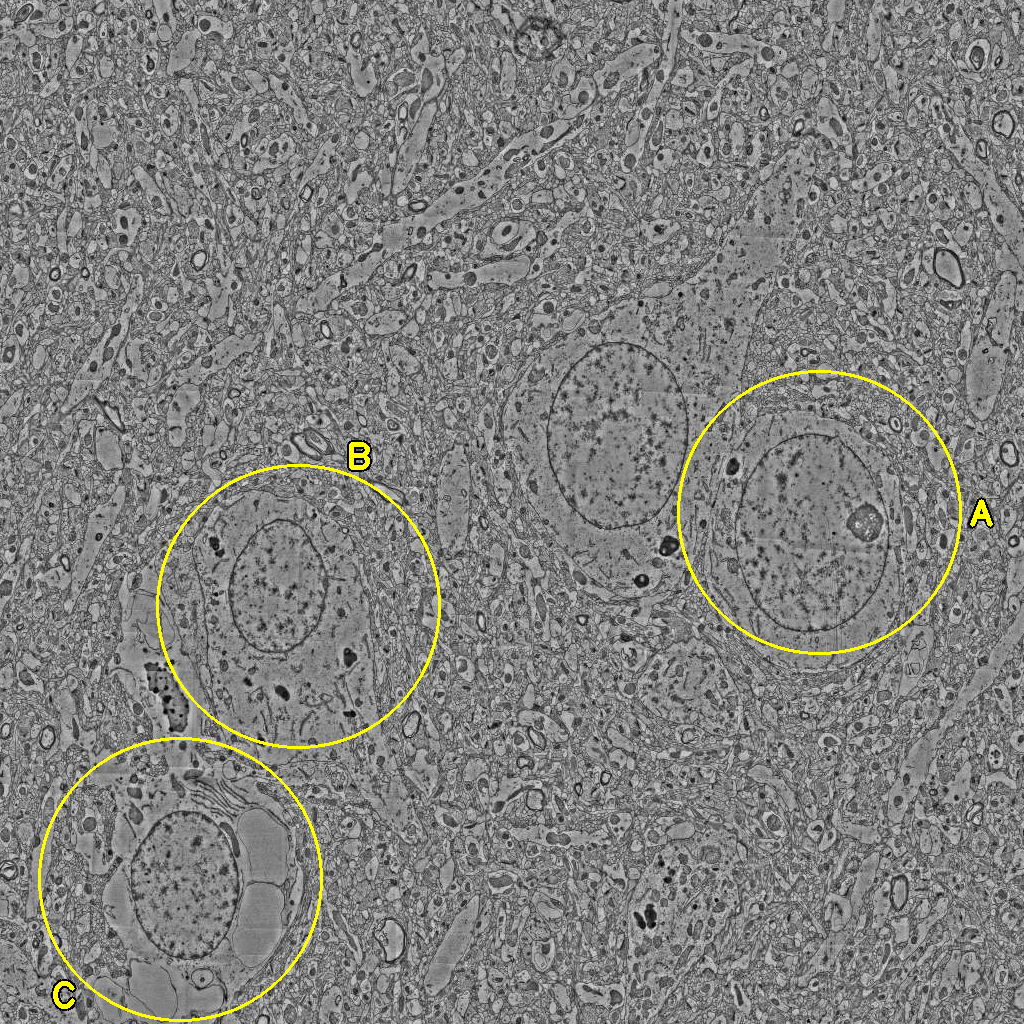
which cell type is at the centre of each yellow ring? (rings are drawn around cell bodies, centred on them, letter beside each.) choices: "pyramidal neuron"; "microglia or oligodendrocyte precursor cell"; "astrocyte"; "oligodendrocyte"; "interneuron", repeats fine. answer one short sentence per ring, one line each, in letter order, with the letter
Ring A is a pyramidal neuron.
Ring B is a pyramidal neuron.
Ring C is an astrocyte.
